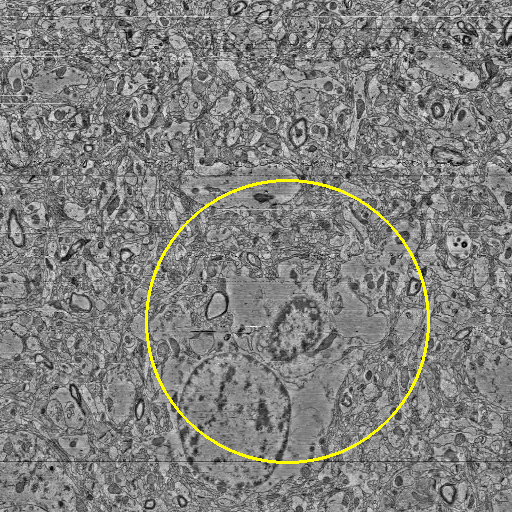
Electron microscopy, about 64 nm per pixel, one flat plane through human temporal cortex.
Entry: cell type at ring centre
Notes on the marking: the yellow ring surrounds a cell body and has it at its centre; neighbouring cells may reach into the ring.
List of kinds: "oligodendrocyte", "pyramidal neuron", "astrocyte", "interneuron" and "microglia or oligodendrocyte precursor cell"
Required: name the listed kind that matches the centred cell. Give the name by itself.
astrocyte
